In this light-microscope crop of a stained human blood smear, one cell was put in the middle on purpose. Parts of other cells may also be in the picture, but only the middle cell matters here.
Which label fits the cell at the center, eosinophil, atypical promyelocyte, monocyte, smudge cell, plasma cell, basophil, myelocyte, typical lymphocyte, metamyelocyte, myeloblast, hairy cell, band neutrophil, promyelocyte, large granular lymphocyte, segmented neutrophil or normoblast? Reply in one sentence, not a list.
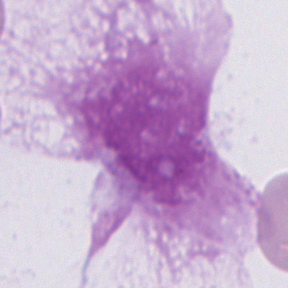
Here the centrally located cell is a smudge cell.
